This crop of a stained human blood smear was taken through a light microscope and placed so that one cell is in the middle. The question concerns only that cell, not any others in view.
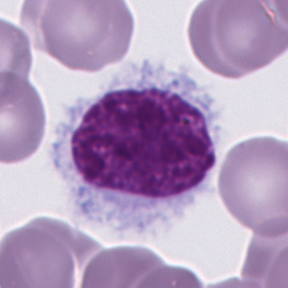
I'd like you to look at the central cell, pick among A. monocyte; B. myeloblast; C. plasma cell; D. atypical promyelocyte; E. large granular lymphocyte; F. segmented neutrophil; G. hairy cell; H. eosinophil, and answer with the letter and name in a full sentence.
That cell in the center is a hairy cell, hence option G.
